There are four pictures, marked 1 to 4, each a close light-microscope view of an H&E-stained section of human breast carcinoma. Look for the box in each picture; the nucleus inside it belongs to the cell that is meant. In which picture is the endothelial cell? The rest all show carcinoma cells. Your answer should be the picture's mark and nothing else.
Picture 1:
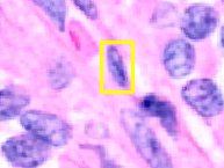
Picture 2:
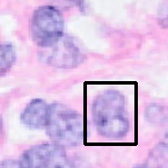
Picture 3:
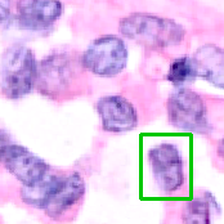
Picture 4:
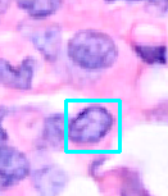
1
